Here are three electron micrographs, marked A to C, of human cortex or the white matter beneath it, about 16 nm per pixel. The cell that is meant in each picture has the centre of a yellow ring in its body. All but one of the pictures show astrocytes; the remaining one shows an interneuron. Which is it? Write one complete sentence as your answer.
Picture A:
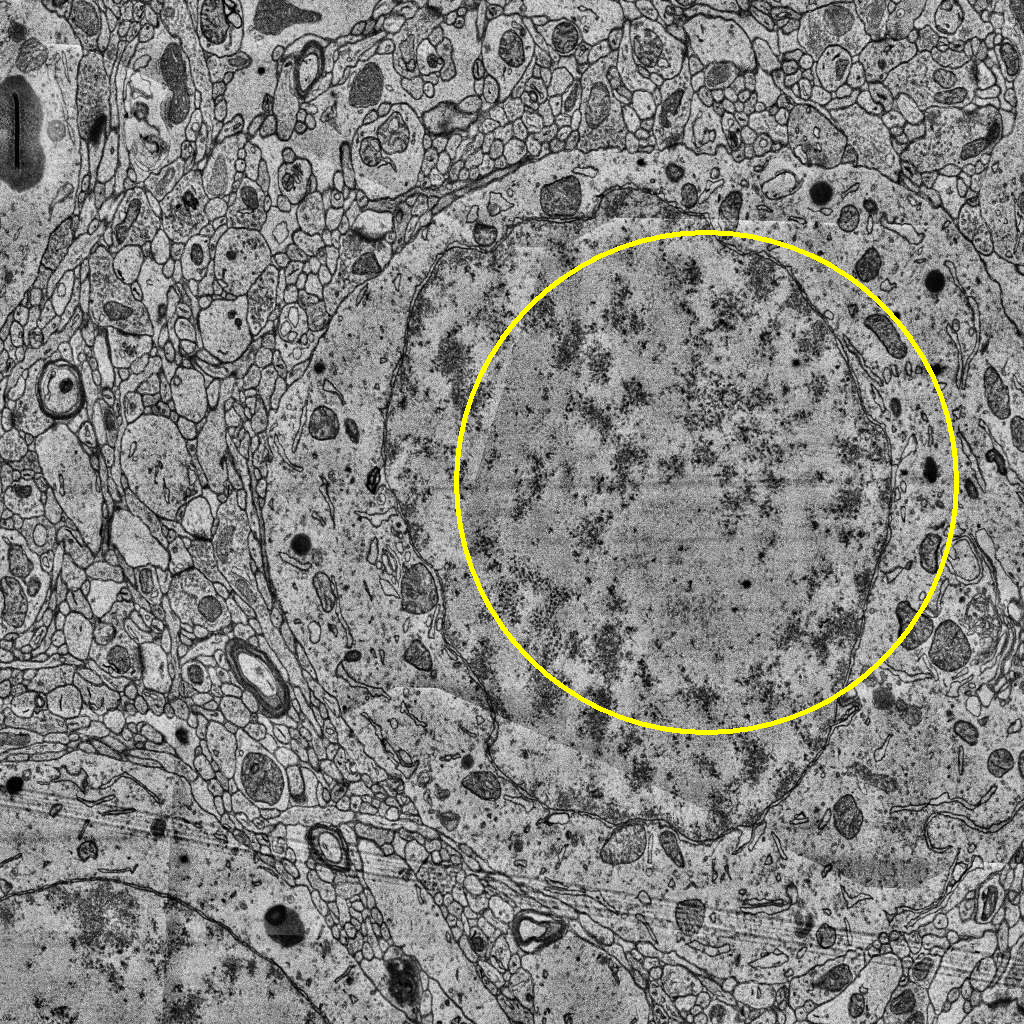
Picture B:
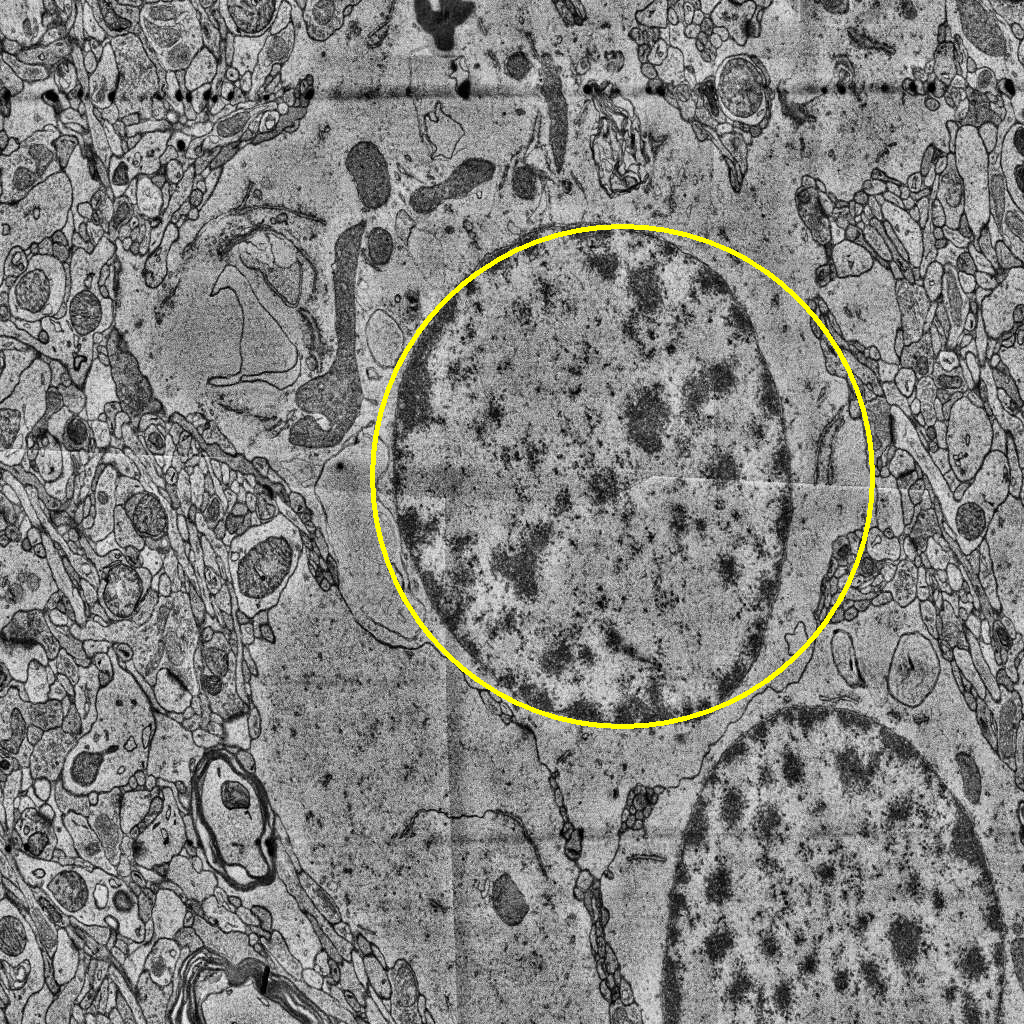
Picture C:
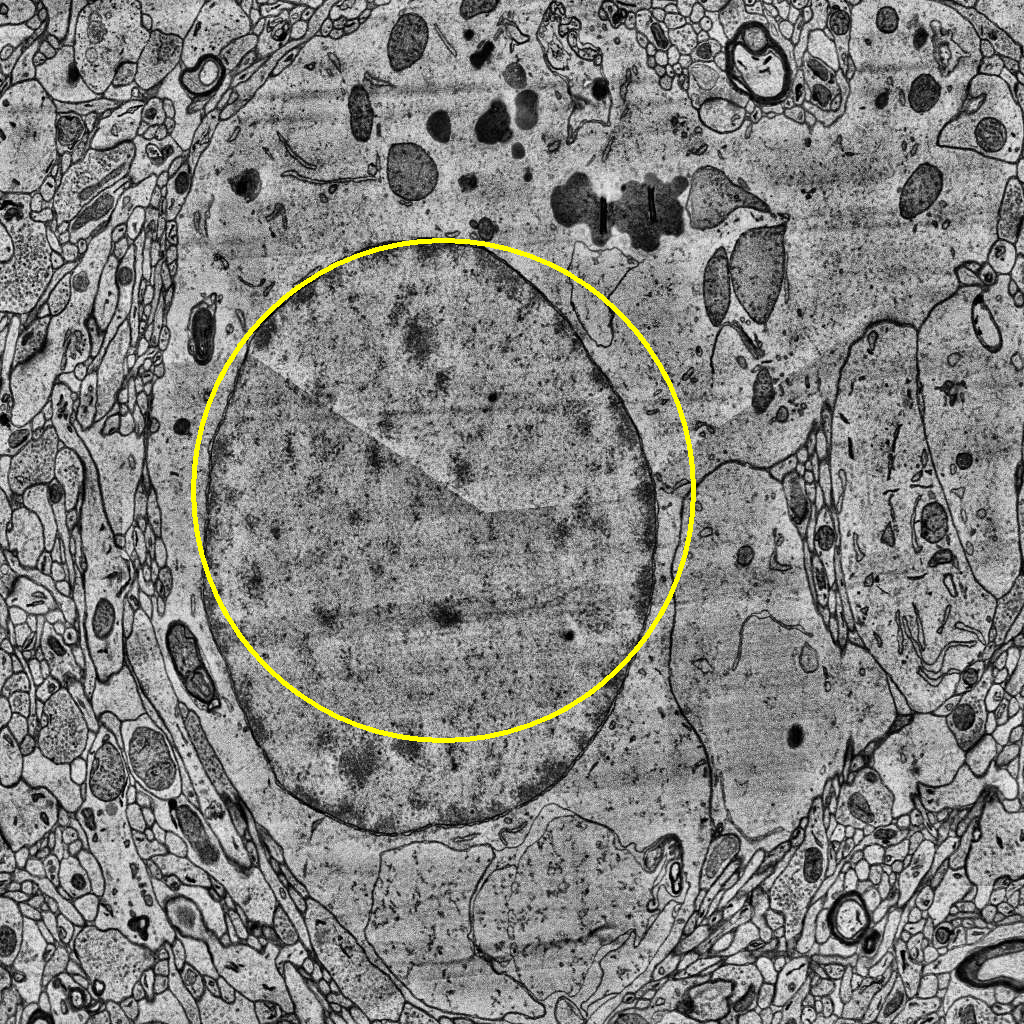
Picture A shows the interneuron.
